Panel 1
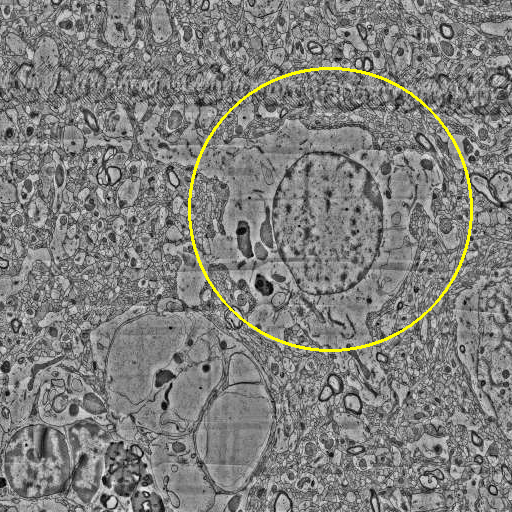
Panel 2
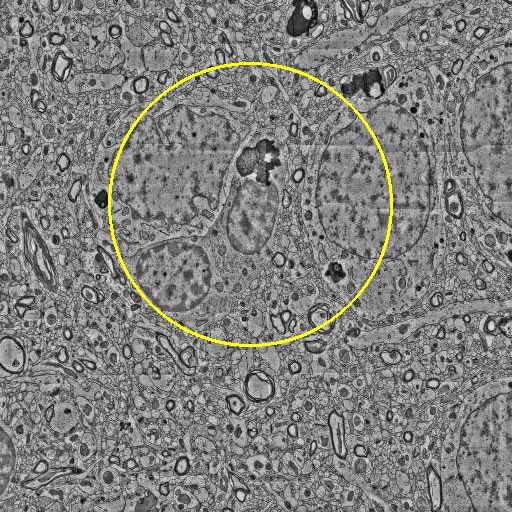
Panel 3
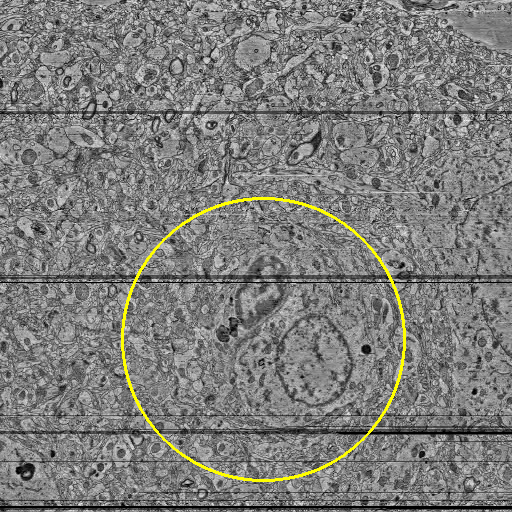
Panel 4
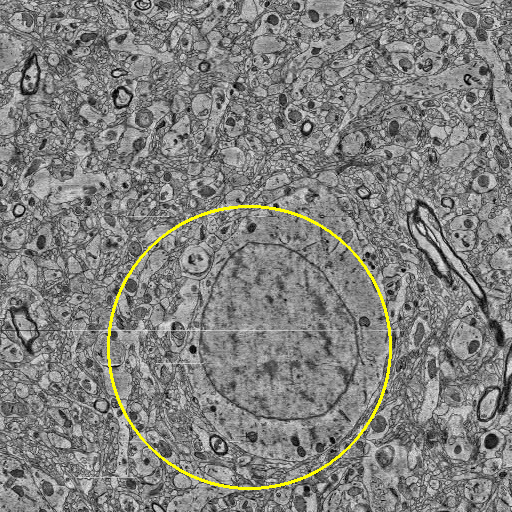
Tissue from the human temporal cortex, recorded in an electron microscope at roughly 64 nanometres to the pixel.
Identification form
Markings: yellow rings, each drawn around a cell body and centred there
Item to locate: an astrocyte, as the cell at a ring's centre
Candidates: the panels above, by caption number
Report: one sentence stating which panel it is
It is Panel 1.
